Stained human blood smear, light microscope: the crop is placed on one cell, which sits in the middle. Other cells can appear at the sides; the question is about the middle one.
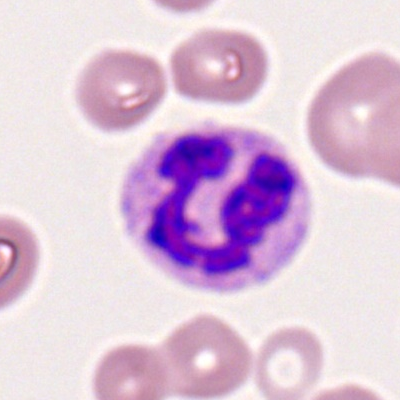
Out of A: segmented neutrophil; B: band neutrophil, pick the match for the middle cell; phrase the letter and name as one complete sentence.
Option A holds up: the cell in the middle is a segmented neutrophil.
